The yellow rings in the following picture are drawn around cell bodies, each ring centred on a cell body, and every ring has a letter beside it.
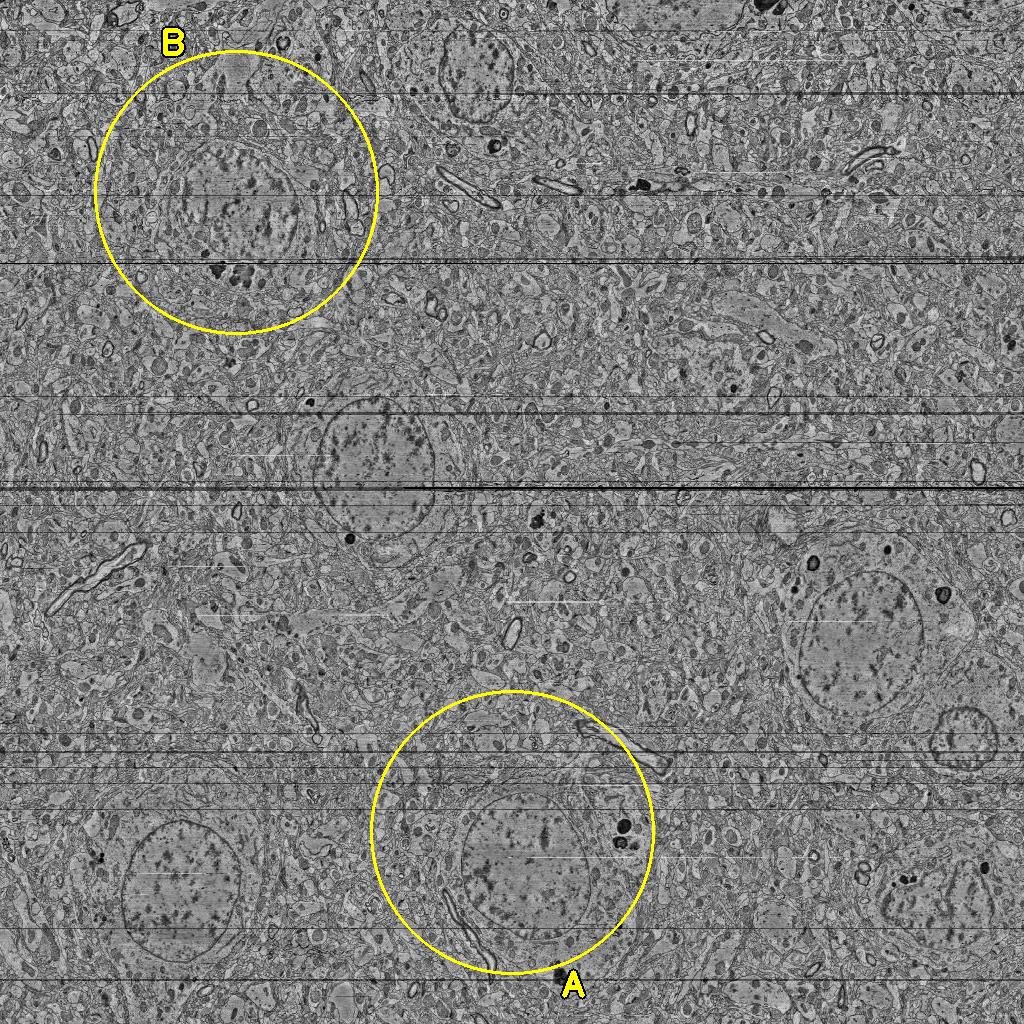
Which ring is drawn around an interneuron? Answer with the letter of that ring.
B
